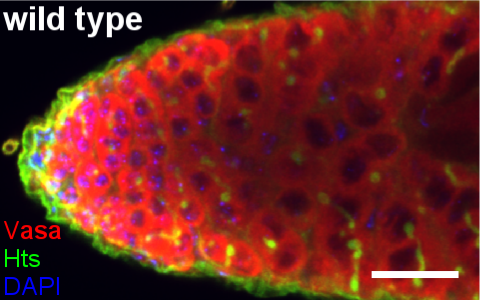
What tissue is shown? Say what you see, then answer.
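A blind-ended tube with a rounded tip at the left. Small densely packed cells crowd the tip, larger round cells lie further from it. The tube is wrapped by a thin green outer layer.
Conclusion: testis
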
